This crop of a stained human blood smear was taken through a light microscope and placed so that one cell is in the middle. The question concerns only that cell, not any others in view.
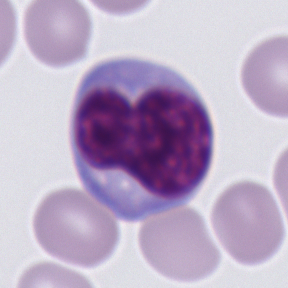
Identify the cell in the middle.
large granular lymphocyte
